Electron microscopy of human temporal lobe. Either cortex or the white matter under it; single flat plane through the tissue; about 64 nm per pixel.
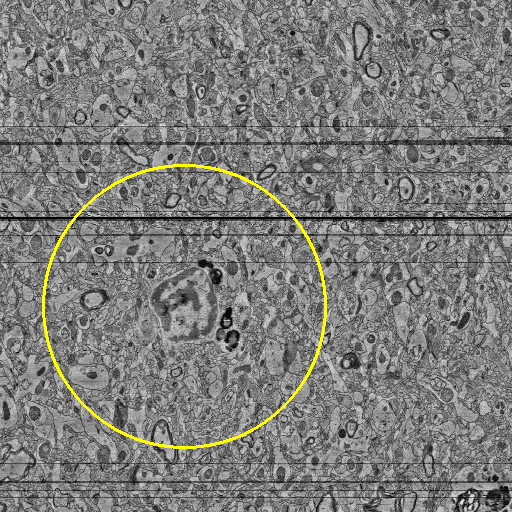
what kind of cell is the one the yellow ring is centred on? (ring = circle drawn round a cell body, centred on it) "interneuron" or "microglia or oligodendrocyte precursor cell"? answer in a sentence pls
The ring is drawn around a microglial cell or oligodendrocyte precursor cell.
